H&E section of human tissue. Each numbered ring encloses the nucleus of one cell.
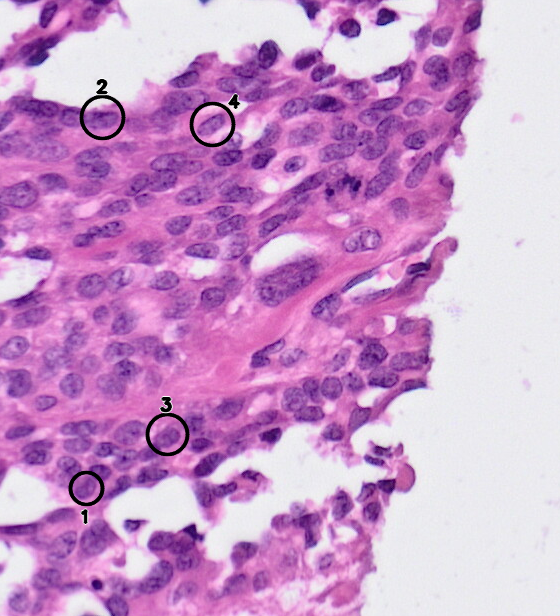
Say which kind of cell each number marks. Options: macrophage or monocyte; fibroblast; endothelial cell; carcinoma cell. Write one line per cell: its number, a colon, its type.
1: carcinoma cell
2: carcinoma cell
3: carcinoma cell
4: macrophage or monocyte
